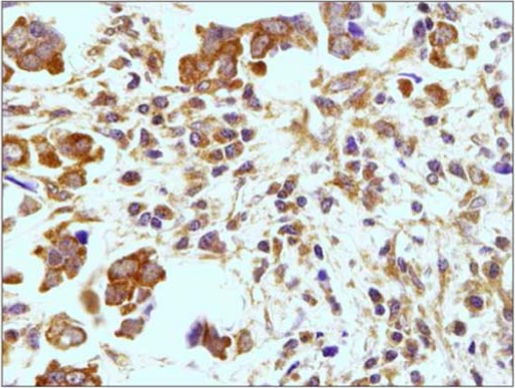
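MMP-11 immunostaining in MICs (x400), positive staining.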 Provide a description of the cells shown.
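This section of tumour tissue shows tumour cells among scattered smaller cells in a loose, pale stroma. The tumour cells are large and lie in small clusters. Each has abundant cytoplasm stained strongly brown and a rounded nucleus, some with a visible nucleolus. Between the clusters, many smaller cells lie singly in the loose stroma. They have round to oval blue nuclei and thinner rims of cytoplasm, most of it also brown, sometimes granular. Several empty spaces separate the cell groups. Nearly every cell in the field shows brown cytoplasm, and the nuclei stay blue.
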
